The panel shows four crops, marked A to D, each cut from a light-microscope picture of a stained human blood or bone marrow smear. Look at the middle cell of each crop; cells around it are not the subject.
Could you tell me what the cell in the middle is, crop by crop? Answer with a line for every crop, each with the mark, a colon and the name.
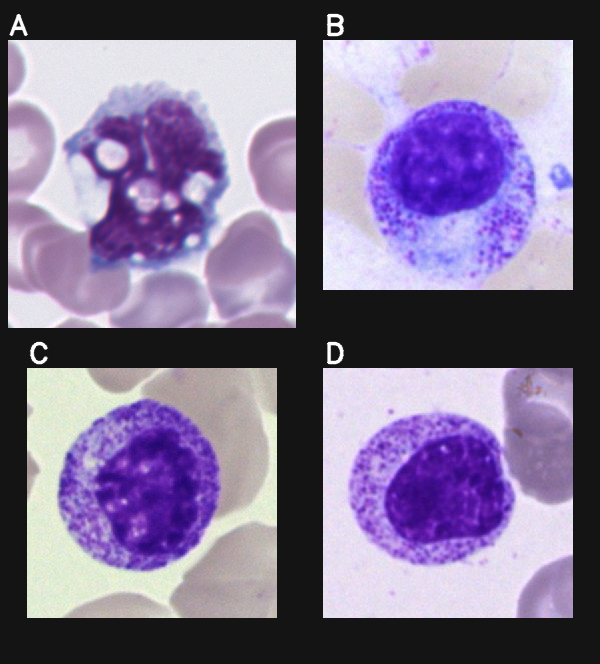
A: monocyte
B: myelocyte
C: myelocyte
D: myelocyte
